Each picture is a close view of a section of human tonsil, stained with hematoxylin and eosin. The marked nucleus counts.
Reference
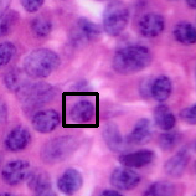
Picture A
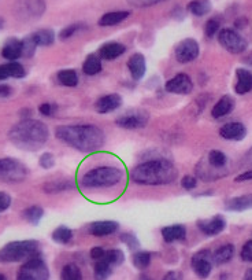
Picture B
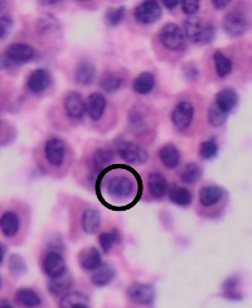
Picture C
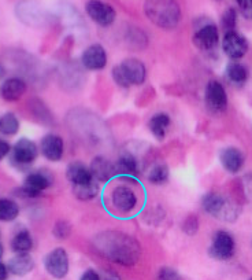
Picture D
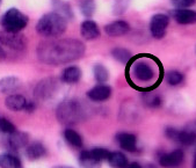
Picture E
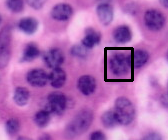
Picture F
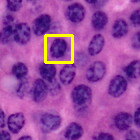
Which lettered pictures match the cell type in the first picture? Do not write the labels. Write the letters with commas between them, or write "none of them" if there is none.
B, E, F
